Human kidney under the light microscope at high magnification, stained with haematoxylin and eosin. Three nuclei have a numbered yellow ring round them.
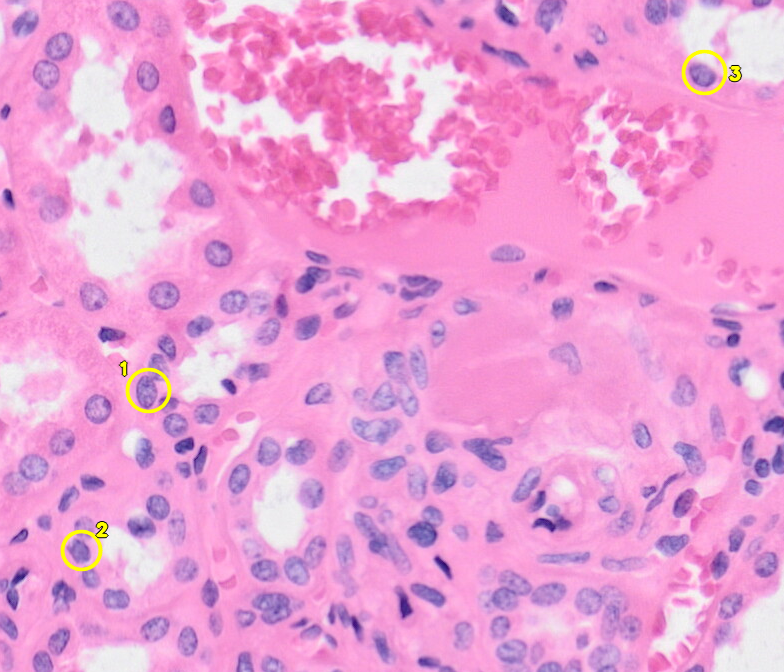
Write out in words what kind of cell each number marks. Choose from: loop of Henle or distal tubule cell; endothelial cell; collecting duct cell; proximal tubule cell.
Cell 1 is a collecting duct cell, cell 2 is a collecting duct cell and cell 3 is a loop of Henle or distal tubule cell.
